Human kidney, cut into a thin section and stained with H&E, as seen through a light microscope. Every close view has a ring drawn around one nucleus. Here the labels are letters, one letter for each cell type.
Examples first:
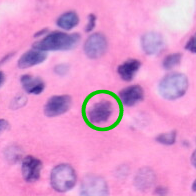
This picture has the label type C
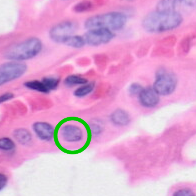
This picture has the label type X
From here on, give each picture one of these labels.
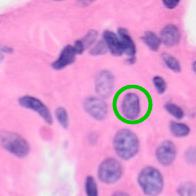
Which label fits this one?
type C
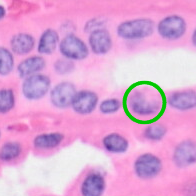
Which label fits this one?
type X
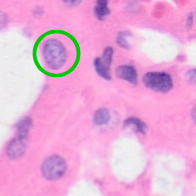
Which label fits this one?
type C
